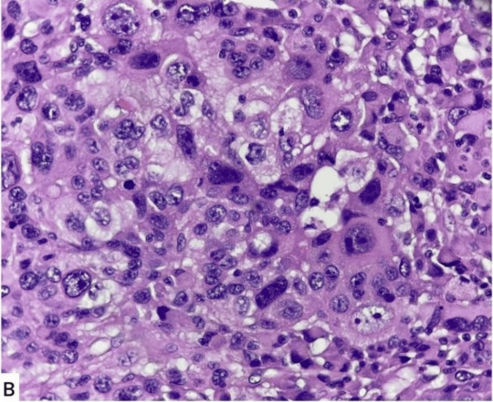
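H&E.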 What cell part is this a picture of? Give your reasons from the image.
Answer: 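Many nuclei show distinct dark dots inside them. Nuclei are vesicular with clear chromatin around these dots. The answer: prominent nucleoli.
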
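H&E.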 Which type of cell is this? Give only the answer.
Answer: bizarre multinucleated giant cells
